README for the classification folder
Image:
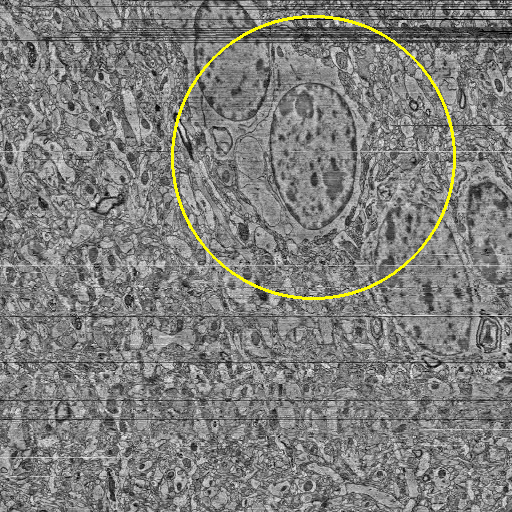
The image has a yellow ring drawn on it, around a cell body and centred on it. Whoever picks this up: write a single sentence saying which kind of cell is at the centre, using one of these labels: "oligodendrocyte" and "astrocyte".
This cell body is that of an astrocyte.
